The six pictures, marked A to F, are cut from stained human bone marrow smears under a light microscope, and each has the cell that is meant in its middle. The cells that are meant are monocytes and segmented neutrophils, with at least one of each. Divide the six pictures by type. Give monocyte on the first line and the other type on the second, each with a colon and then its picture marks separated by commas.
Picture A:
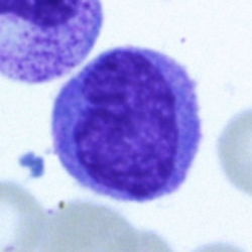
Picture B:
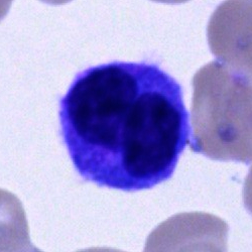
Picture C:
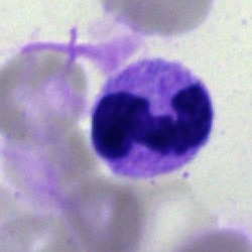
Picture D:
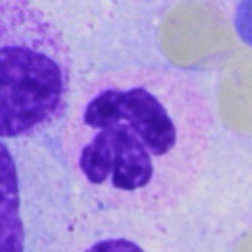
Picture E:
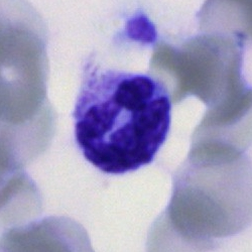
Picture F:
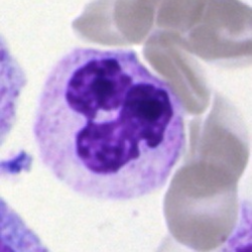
monocyte: A, B
segmented neutrophil: C, D, E, F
